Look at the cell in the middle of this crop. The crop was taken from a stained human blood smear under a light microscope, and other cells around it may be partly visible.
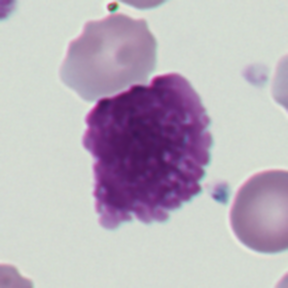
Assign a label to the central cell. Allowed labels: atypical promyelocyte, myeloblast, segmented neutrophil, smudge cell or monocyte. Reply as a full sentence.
The cell found in the middle of this crop is a smudge cell.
